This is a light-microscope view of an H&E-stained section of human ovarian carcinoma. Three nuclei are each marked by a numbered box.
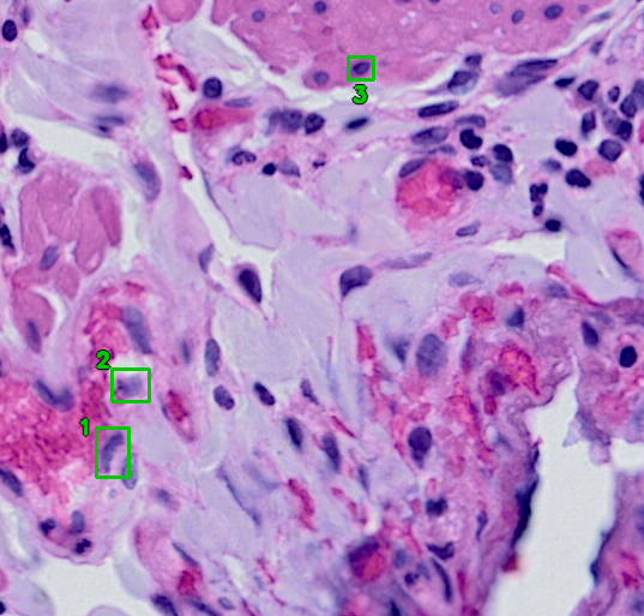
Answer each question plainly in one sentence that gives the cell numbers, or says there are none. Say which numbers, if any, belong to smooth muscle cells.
Only the cell numbered 3 qualifies as a smooth muscle cell among the marked cells.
